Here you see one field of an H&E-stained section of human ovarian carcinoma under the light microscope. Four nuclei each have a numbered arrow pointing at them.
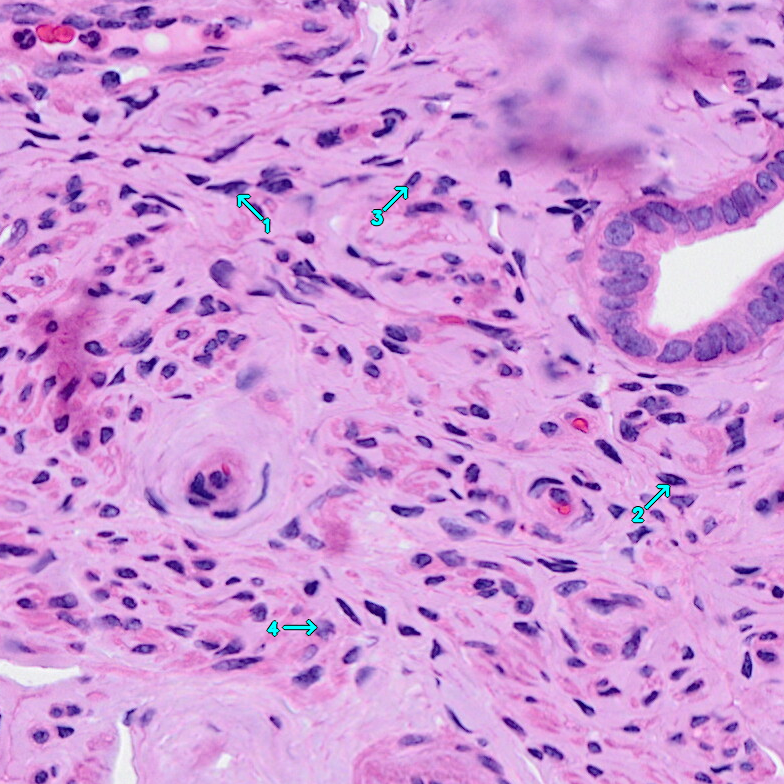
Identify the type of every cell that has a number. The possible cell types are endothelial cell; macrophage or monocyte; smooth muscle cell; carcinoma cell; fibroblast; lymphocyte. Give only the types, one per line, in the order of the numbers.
fibroblast
smooth muscle cell
smooth muscle cell
smooth muscle cell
